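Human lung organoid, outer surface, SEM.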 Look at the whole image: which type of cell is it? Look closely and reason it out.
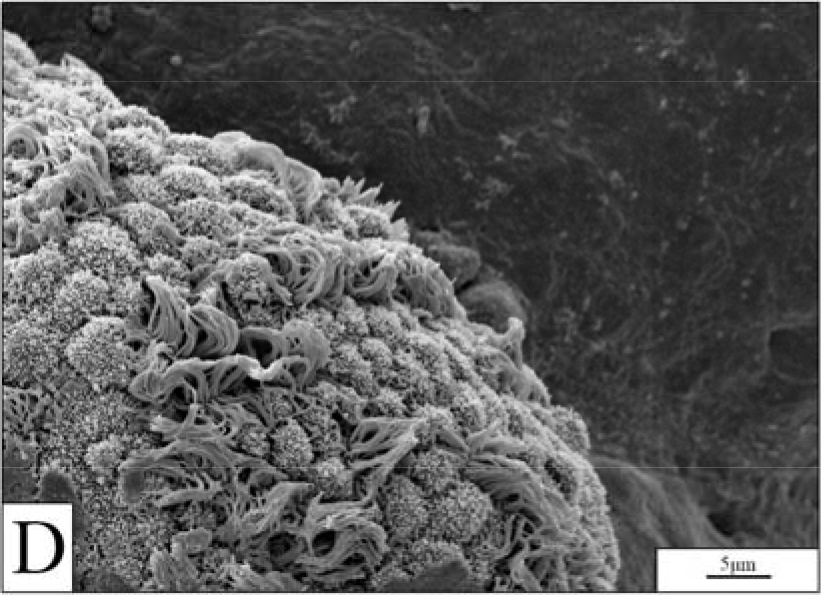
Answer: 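Some cells bear dense tufts of long wavy projections. Other cells have domed surfaces covered only with short knob-like projections.
Ciliated and nonciliated cells.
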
